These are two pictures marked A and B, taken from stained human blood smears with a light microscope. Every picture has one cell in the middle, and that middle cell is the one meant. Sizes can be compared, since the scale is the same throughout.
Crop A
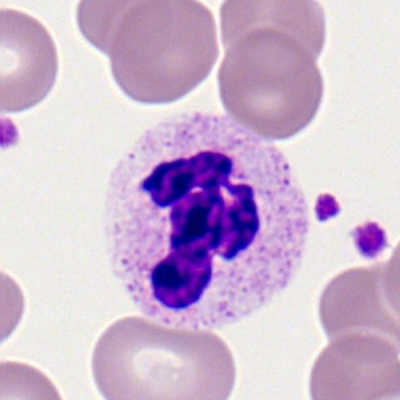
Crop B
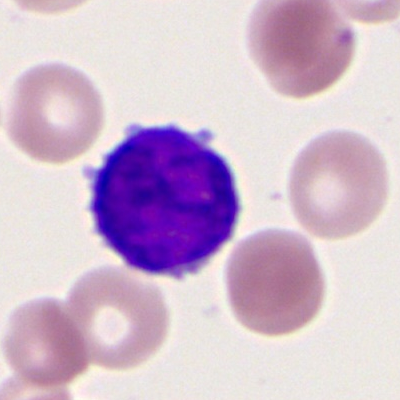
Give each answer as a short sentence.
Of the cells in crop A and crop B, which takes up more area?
The cell in crop A is larger, with about 1.5 times the area of the one in crop B.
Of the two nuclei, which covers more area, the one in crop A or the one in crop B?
Crop B shows the larger nucleus; it covers about 1.5 times the area of the nucleus in crop A.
